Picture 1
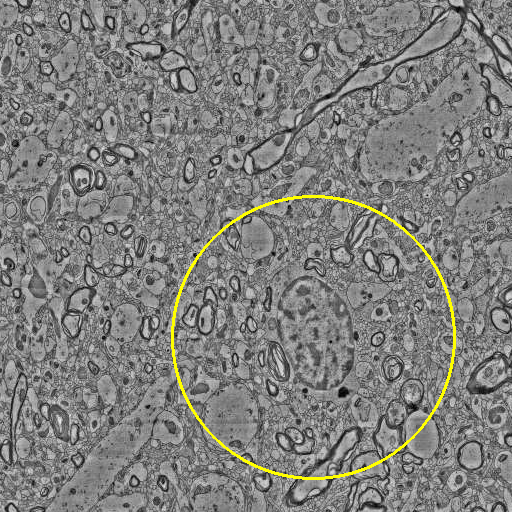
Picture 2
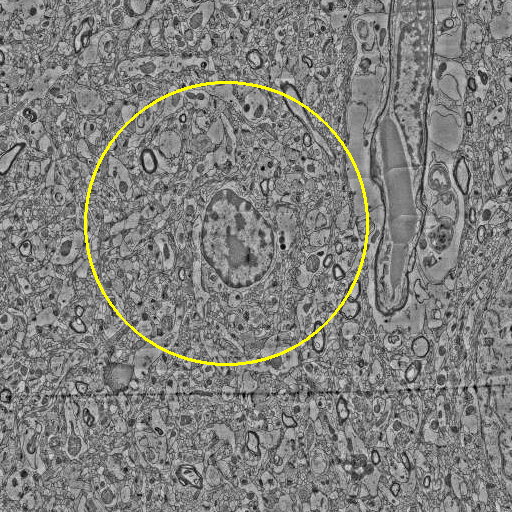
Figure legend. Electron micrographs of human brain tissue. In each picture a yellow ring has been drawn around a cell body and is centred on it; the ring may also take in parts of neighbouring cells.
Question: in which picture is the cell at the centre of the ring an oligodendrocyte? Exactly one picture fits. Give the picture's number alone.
1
